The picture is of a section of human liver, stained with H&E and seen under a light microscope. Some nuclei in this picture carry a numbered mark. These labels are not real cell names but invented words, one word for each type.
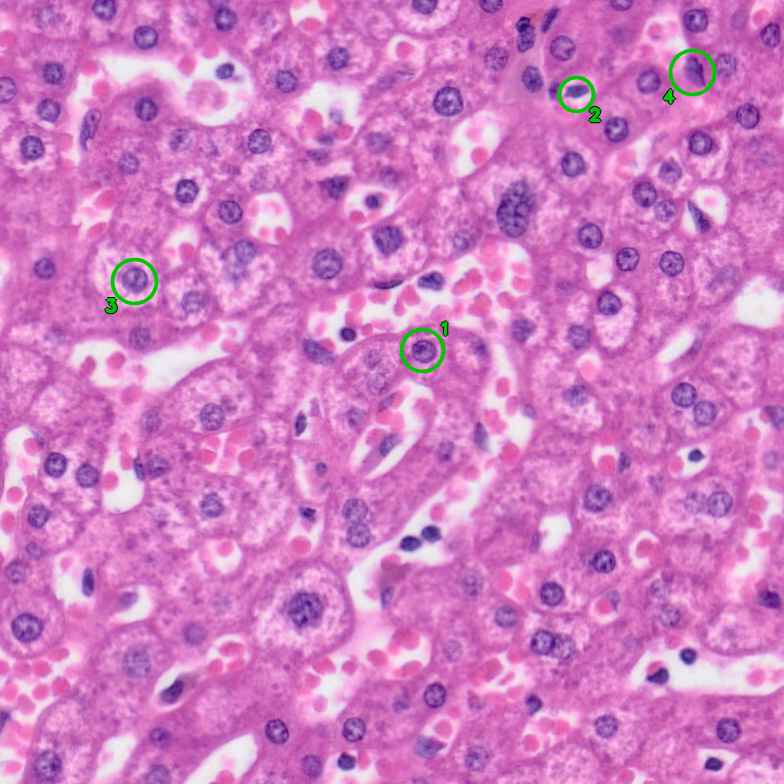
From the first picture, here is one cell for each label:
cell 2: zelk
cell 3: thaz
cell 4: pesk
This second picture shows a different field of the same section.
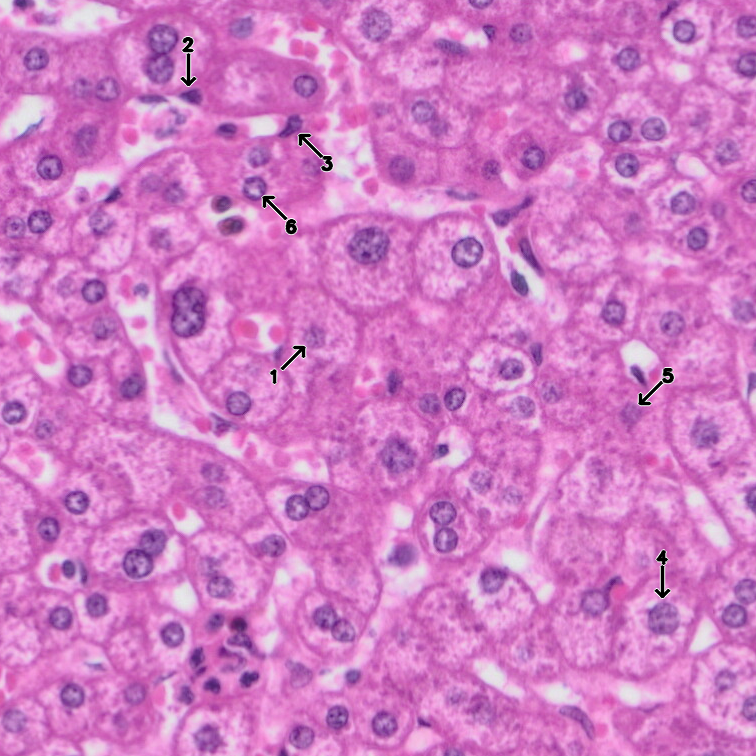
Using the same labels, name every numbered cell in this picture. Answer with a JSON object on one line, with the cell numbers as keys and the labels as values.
{"1": "thaz", "2": "pesk", "3": "pesk", "4": "thaz", "5": "thaz", "6": "thaz"}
